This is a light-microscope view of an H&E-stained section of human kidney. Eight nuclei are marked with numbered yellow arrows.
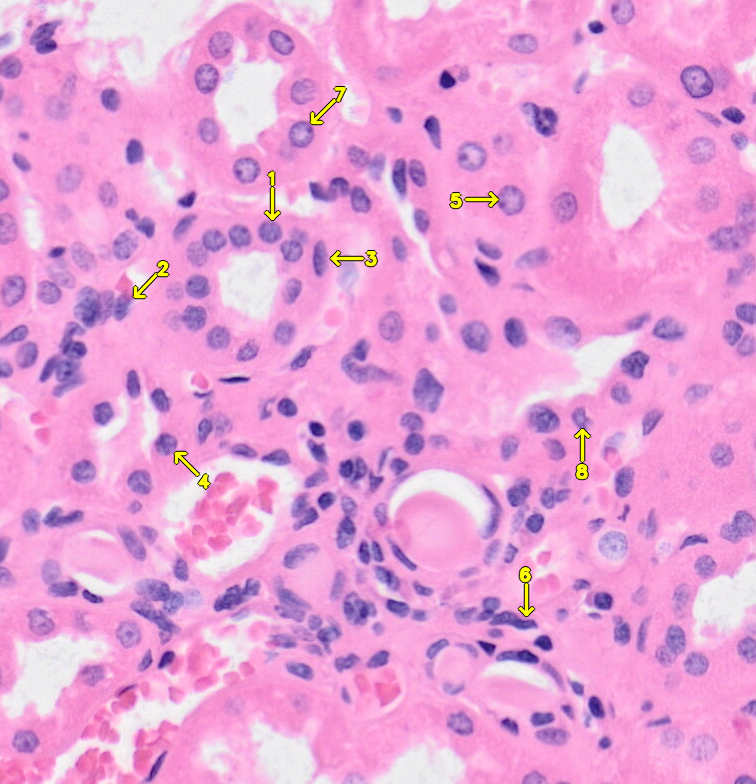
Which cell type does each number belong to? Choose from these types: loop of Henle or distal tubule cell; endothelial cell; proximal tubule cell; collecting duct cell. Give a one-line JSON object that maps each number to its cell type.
{"1": "collecting duct cell", "2": "endothelial cell", "3": "collecting duct cell", "4": "loop of Henle or distal tubule cell", "5": "proximal tubule cell", "6": "endothelial cell", "7": "proximal tubule cell", "8": "loop of Henle or distal tubule cell"}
